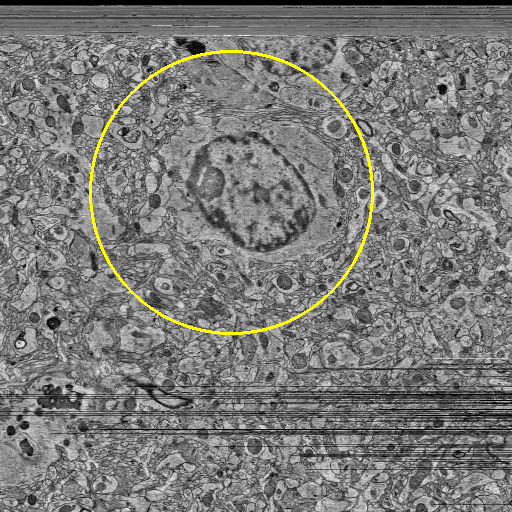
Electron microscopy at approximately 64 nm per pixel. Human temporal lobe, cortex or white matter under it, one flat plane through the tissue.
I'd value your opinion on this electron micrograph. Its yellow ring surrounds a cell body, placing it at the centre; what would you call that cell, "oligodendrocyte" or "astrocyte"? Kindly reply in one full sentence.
It is an astrocyte that sits centred within the yellow ring in this micrograph.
